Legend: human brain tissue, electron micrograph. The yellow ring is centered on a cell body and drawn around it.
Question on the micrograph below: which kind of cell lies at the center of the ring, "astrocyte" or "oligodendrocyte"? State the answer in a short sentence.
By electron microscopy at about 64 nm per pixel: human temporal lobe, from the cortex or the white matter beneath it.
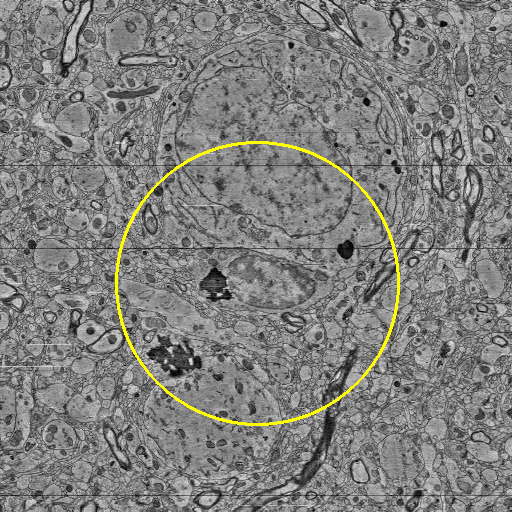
At the center of the ring lies an oligodendrocyte.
